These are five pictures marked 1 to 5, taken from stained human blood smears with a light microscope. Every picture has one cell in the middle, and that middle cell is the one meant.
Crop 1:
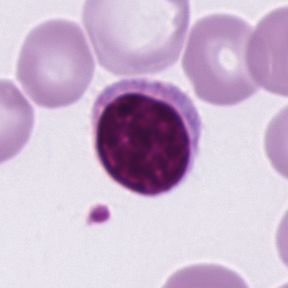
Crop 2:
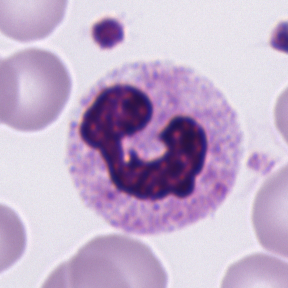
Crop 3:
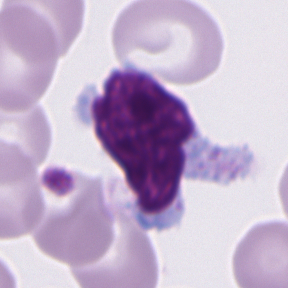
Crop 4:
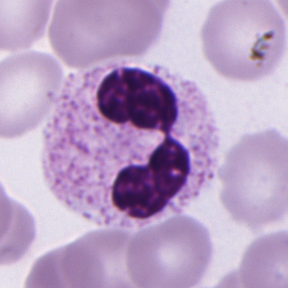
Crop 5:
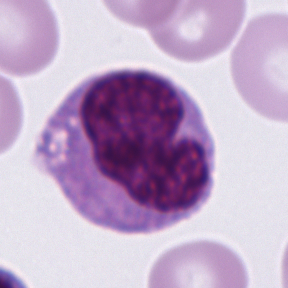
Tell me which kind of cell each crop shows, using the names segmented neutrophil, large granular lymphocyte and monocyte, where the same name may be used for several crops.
1: large granular lymphocyte
2: segmented neutrophil
3: large granular lymphocyte
4: segmented neutrophil
5: monocyte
